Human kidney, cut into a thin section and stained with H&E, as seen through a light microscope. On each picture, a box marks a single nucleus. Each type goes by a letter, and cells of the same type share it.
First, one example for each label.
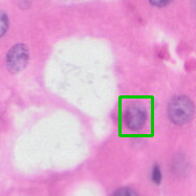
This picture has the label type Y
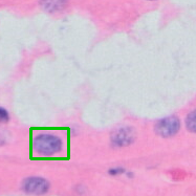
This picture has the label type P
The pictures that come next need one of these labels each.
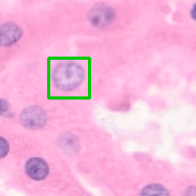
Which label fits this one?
type Y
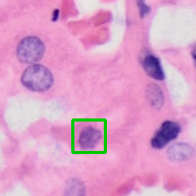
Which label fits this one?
type Y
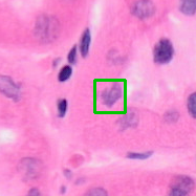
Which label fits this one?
type P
